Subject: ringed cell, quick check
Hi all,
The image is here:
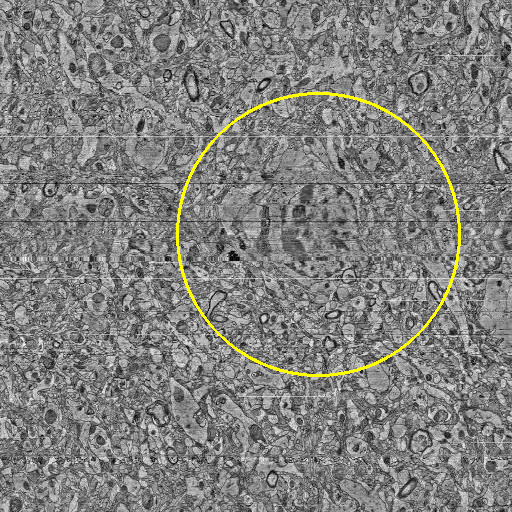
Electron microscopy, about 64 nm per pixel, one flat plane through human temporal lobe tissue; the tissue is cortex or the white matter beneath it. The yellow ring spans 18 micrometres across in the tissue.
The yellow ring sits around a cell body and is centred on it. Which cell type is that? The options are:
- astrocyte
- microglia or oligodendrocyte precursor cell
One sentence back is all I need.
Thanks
That ringed cell is a microglial cell or oligodendrocyte precursor cell.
